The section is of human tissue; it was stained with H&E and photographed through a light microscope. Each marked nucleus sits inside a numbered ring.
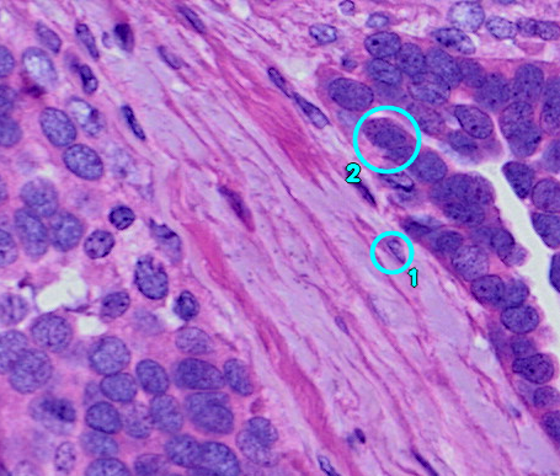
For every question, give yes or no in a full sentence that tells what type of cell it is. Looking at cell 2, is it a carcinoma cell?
Yes, the cell distinguished by number 2 is a carcinoma cell.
